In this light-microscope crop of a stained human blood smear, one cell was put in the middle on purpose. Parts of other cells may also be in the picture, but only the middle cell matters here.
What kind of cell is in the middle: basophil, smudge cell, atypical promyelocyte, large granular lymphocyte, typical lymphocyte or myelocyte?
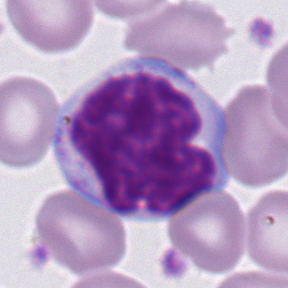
large granular lymphocyte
